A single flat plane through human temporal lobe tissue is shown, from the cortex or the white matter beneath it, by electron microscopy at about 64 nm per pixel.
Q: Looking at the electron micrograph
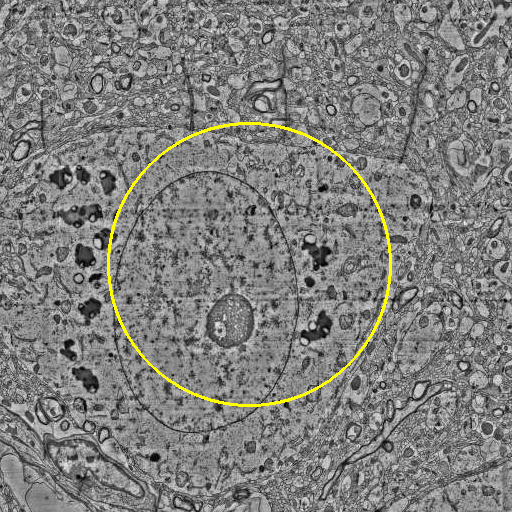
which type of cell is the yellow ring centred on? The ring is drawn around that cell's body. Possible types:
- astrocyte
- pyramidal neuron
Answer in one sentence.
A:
The yellow ring is centred on a pyramidal neuron.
